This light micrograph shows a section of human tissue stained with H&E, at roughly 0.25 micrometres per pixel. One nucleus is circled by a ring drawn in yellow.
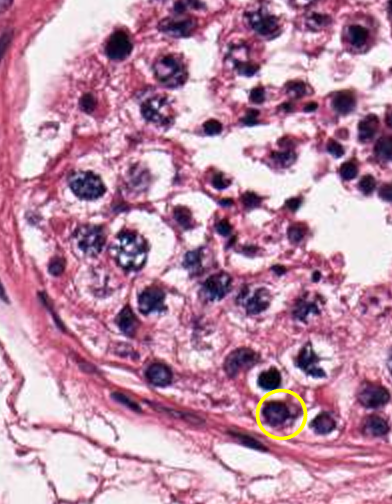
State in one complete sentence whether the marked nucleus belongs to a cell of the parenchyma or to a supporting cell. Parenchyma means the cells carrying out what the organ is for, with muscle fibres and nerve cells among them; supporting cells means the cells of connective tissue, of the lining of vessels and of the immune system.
The marked nucleus belongs to a parenchymal cell, and this cell is a spermatogonium.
